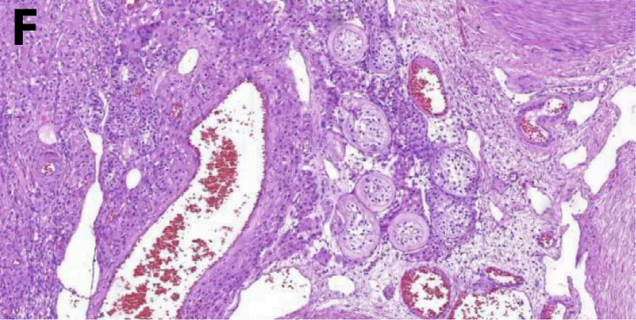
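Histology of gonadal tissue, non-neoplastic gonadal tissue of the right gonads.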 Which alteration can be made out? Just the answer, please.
Seminiferous tubules with peritubular fibrosis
